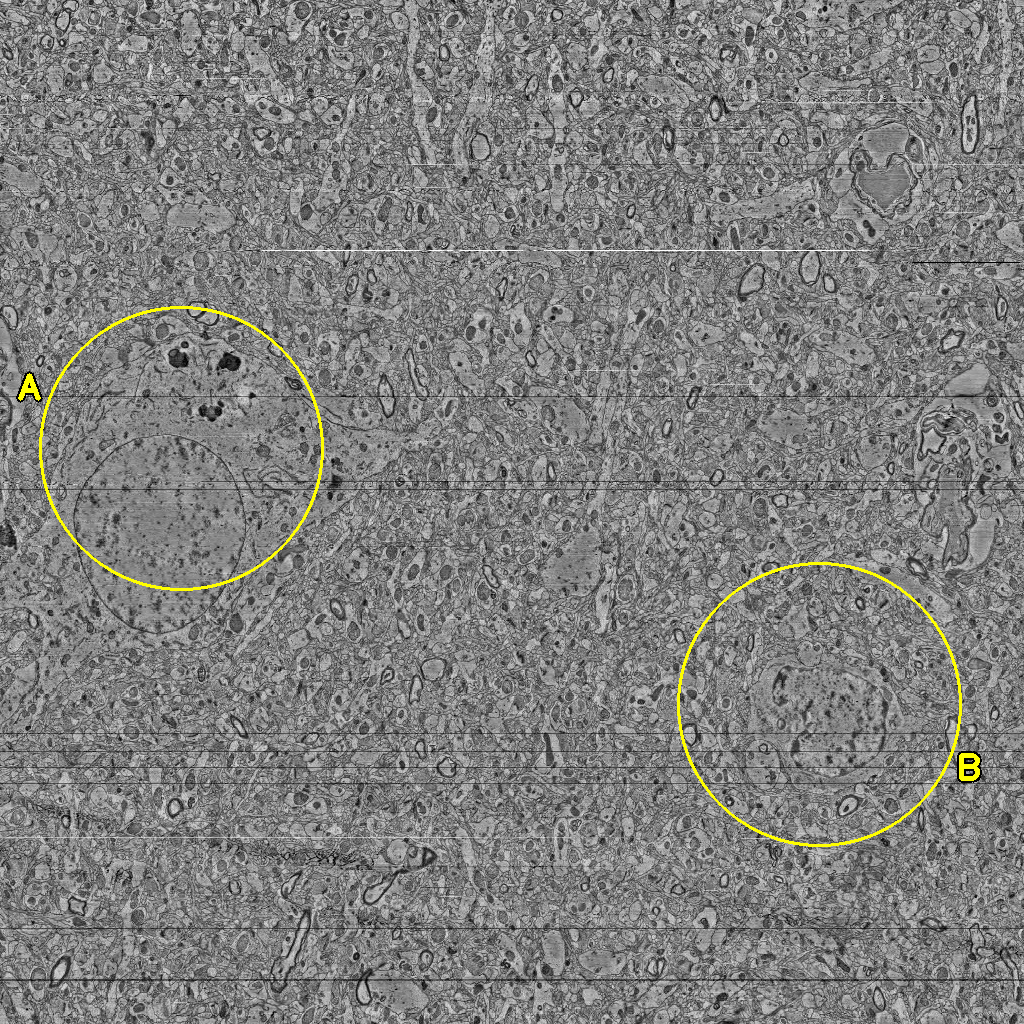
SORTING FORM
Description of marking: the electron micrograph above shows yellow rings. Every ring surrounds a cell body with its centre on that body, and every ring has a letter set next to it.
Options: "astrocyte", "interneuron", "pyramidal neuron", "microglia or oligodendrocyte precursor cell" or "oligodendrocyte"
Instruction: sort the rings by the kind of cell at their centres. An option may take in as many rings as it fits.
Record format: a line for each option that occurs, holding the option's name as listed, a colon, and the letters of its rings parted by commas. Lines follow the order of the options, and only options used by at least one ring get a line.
pyramidal neuron: A
microglia or oligodendrocyte precursor cell: B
